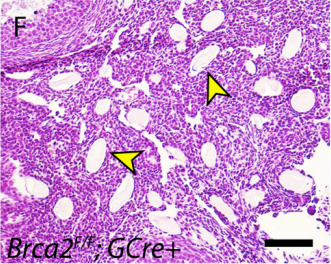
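Numerous pale, oval or irregular oocyte remnants with little internal staining lie scattered through the section, each surrounded by small cells with dark purple nuclei that do not form clear, orderly concentric layers. The oocytes vary in size and are often elongated or collapsed rather than round. The tissue between them is densely cellular, and no large fluid-filled follicles are seen in the field.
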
